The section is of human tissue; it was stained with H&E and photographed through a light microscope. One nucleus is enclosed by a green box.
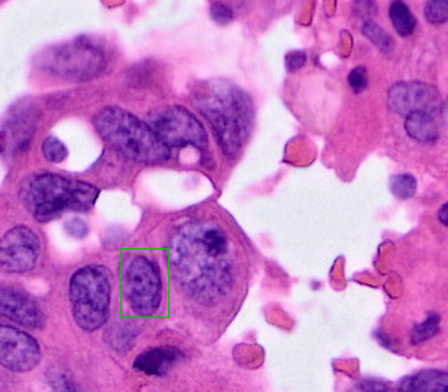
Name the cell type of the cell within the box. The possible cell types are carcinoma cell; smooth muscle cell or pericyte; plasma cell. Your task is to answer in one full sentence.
The classification of the cell within the box is as a carcinoma cell.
